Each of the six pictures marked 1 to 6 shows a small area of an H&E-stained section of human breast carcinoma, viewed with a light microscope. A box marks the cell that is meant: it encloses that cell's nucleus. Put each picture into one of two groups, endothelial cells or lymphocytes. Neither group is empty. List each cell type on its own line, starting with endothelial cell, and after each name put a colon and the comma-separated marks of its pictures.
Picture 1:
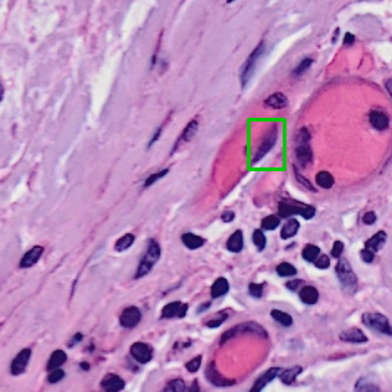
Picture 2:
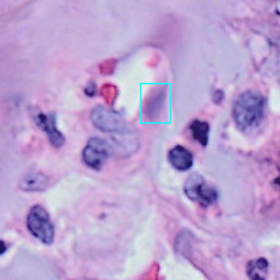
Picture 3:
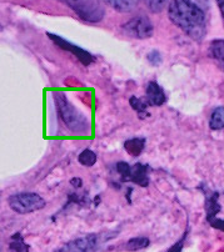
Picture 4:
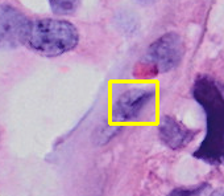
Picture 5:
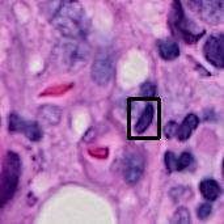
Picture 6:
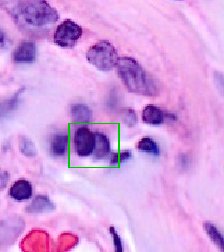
endothelial cell: 1, 2, 3, 4
lymphocyte: 5, 6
